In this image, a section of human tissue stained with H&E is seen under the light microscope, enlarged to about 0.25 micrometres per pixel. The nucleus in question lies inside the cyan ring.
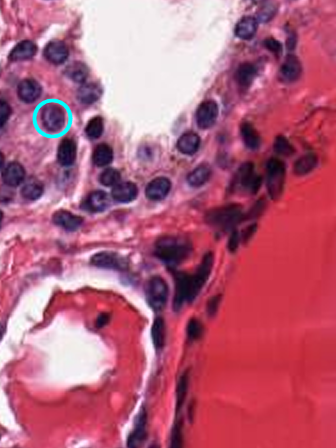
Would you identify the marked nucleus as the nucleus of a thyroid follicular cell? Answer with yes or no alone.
yes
